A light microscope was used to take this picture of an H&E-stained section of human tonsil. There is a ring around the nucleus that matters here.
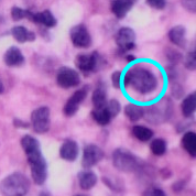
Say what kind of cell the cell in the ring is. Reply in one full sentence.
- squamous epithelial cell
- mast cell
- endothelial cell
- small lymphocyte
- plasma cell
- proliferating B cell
Just put down that the cell in the ring is a proliferating B cell.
